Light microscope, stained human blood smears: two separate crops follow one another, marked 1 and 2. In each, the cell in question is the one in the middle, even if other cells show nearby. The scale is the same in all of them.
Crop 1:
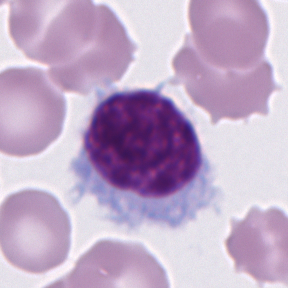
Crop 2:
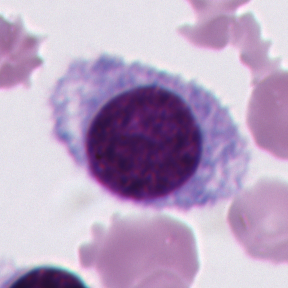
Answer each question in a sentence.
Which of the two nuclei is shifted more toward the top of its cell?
In crop 1 the nucleus is shifted more toward the top.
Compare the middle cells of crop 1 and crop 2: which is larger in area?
The cell in crop 2 is larger, with about 1.5 times the area of the one in crop 1.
